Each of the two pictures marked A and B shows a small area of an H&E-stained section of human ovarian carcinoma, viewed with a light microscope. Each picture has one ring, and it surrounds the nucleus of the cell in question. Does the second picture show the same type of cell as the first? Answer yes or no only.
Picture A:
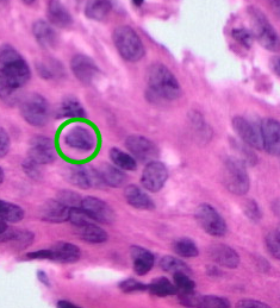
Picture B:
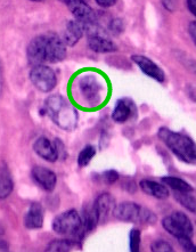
yes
